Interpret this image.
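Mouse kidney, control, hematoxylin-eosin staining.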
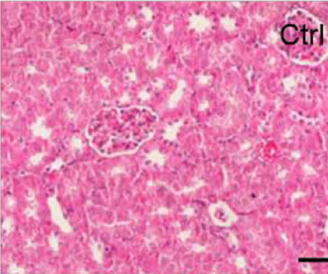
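Renal cortex with a glomerulus, a rounded tuft of capillaries inside a clear Bowman's space, surrounded by closely packed tubules. The tubules are lined by cuboidal cells with pink cytoplasm and round purple nuclei, and their lumens are narrow.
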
